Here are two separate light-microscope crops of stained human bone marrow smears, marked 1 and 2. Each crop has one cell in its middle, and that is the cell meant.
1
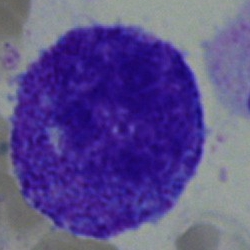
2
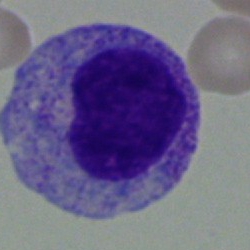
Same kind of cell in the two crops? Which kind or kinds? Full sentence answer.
No, crop 1 contains a promyelocyte; a myelocyte is what crop 2 contains.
